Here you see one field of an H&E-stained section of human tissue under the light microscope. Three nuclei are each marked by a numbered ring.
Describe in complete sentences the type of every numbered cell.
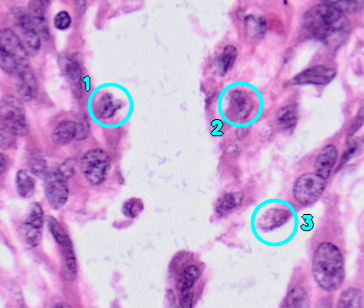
Cell 1 is a macrophage or monocyte. Cells 2 and 3 are melanoma cells.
